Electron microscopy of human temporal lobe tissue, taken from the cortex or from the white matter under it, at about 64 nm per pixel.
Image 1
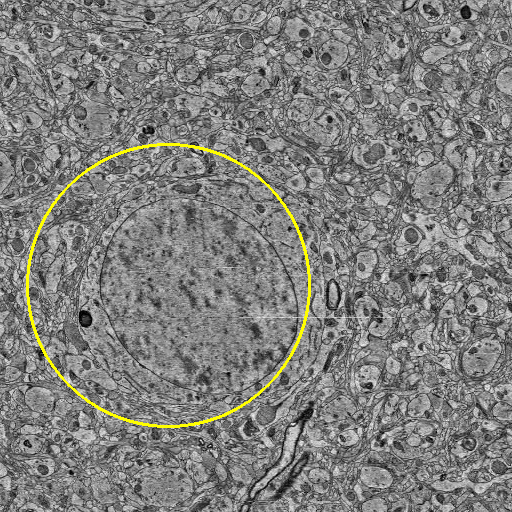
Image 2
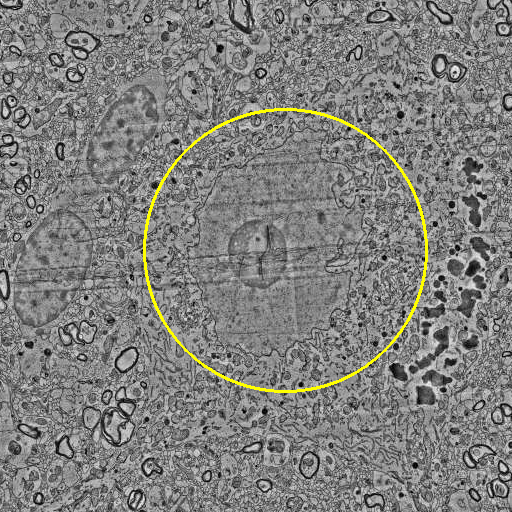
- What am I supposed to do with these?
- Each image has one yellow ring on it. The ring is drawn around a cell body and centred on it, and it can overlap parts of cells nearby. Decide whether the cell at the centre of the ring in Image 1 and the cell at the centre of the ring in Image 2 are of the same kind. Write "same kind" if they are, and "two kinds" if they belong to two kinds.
same kind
